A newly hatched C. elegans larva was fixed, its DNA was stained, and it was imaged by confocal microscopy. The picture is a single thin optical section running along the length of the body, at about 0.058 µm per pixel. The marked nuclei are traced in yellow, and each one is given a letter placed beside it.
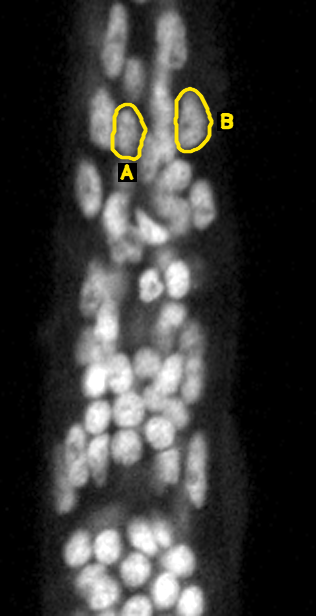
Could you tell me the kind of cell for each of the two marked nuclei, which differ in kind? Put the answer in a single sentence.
A is from a hypodermal cell (hyp), and B is from a body wall muscle cell.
